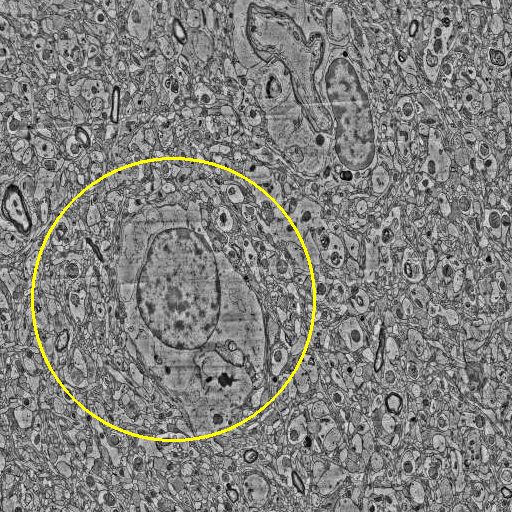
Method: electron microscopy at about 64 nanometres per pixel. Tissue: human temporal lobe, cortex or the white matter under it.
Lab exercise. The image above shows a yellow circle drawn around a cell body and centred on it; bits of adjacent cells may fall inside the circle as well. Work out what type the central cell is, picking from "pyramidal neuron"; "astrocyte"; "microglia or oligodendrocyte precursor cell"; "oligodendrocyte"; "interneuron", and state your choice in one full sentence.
In the image above, the cell at the centre of the yellow circle is an astrocyte.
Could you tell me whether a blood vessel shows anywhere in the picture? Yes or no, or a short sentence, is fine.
No.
